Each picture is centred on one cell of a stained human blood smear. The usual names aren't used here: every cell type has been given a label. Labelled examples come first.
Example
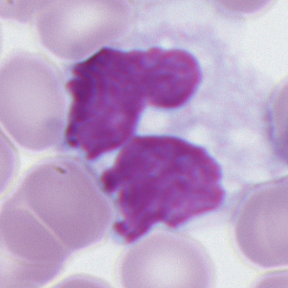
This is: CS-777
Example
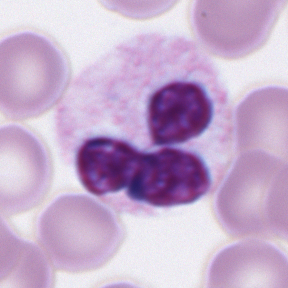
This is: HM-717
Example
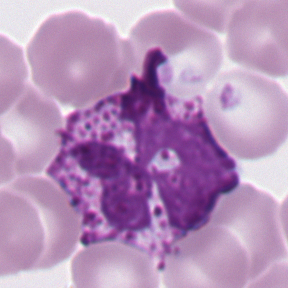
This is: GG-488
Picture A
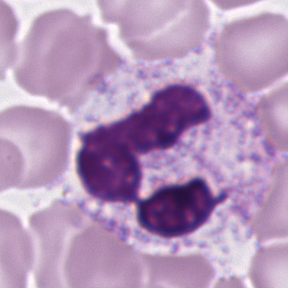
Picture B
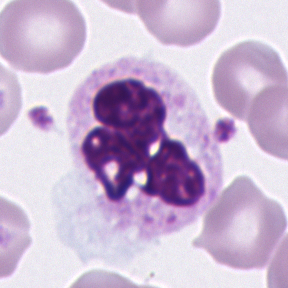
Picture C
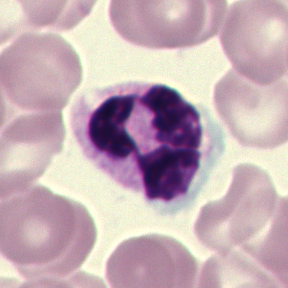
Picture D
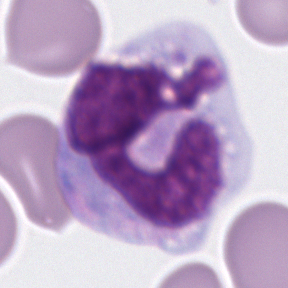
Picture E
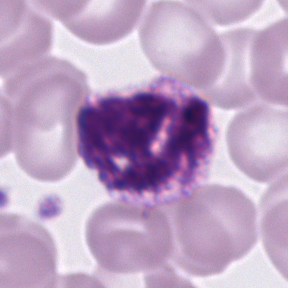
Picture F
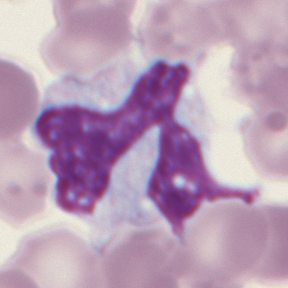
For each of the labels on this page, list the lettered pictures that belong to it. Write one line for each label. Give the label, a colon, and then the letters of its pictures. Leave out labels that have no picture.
CS-777: D, F
HM-717: A, B, C
GG-488: E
